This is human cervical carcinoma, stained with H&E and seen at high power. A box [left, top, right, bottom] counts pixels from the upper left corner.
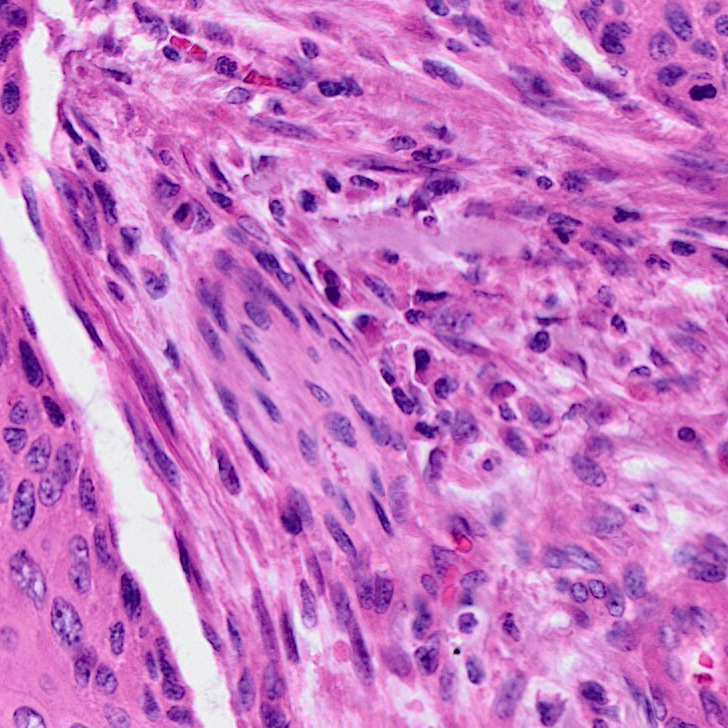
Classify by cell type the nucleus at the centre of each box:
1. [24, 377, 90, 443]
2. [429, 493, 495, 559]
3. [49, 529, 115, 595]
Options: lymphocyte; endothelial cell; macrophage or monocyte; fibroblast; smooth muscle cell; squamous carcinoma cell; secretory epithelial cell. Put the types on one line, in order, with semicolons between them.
squamous carcinoma cell; endothelial cell; squamous carcinoma cell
